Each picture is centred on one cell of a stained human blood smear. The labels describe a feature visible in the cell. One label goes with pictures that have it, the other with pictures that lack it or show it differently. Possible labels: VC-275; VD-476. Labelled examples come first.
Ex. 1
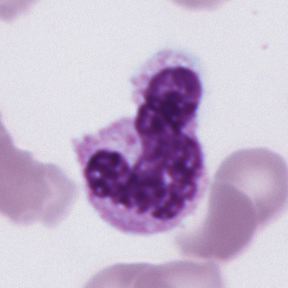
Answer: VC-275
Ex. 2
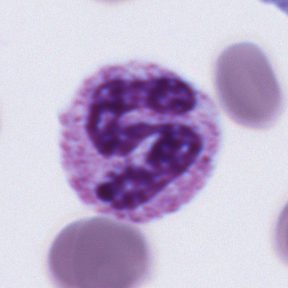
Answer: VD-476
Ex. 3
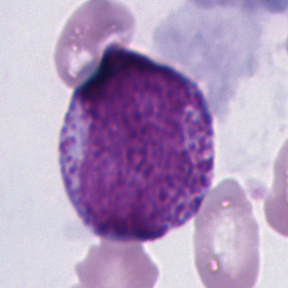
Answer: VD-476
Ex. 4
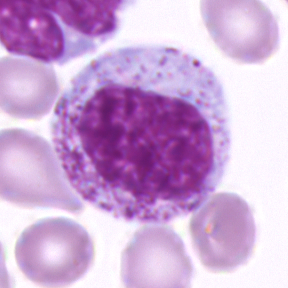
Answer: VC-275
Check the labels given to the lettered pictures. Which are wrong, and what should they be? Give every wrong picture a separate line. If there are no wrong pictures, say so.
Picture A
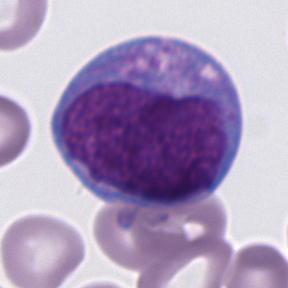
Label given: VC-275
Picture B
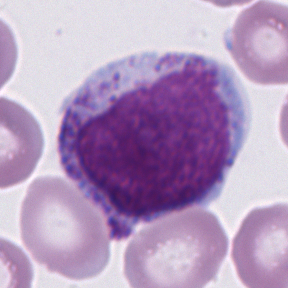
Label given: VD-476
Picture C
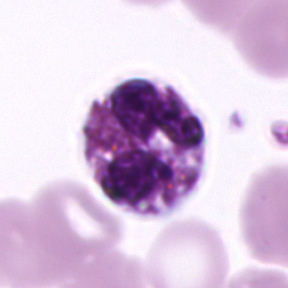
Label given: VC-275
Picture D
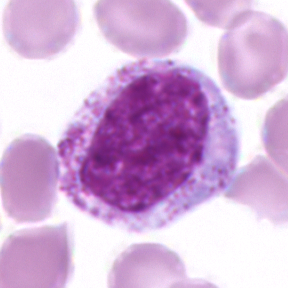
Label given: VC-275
Nothing to fix; every label fits.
